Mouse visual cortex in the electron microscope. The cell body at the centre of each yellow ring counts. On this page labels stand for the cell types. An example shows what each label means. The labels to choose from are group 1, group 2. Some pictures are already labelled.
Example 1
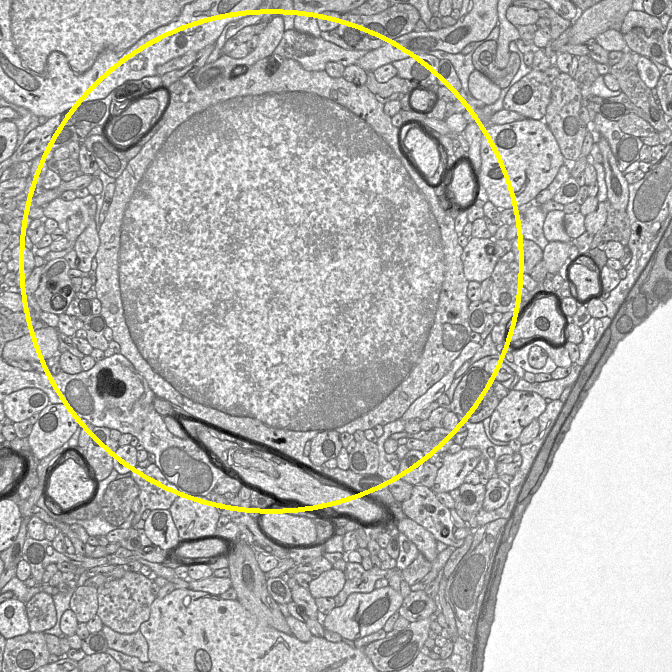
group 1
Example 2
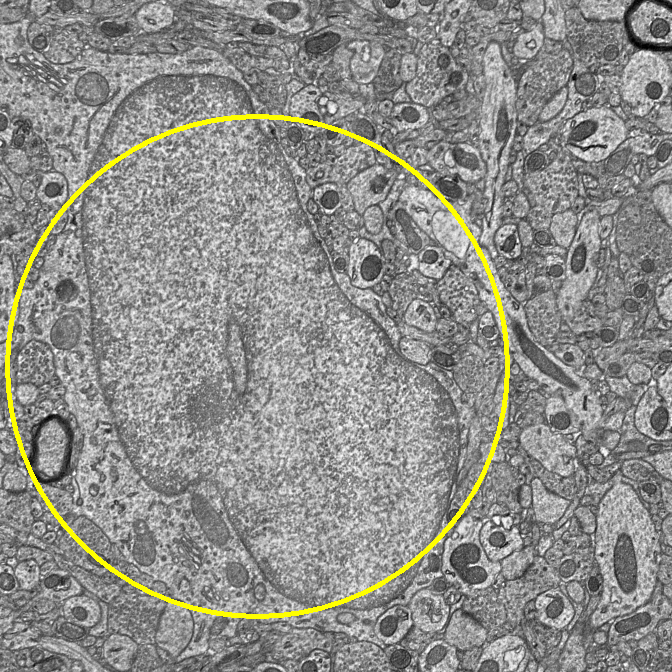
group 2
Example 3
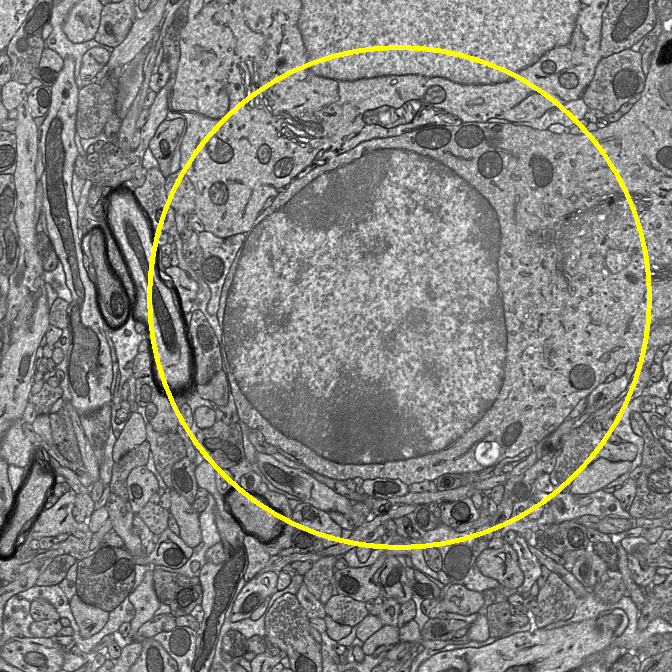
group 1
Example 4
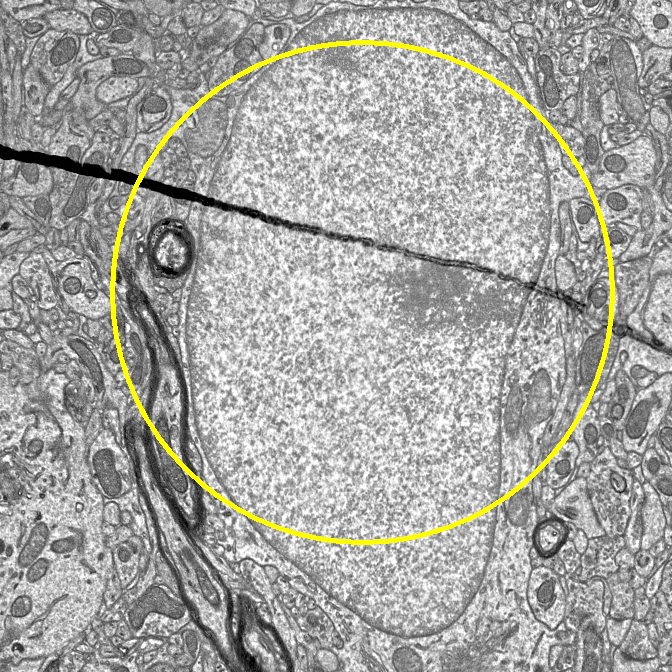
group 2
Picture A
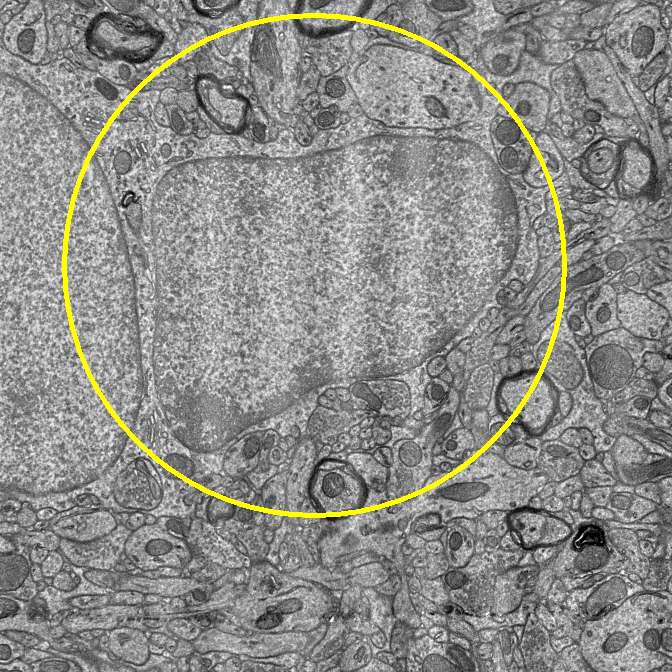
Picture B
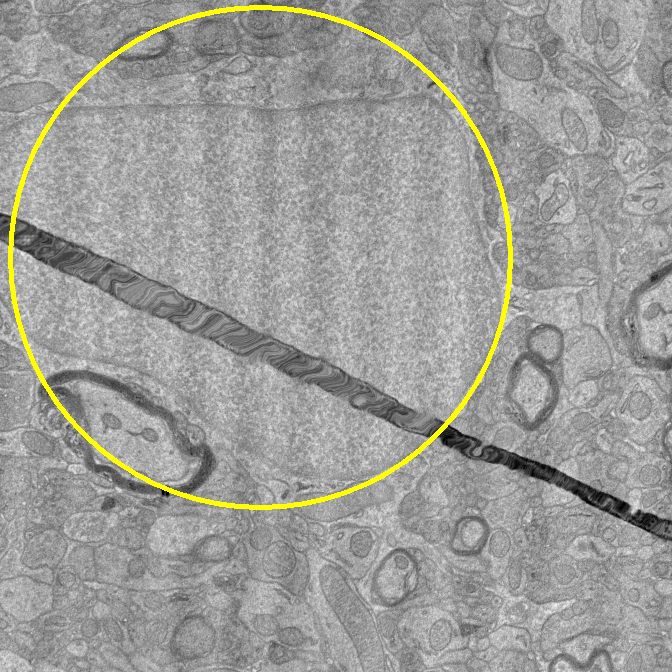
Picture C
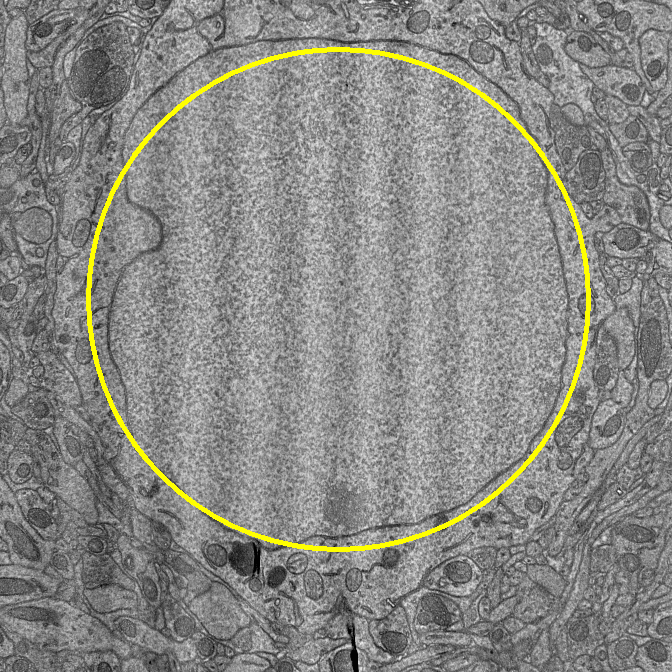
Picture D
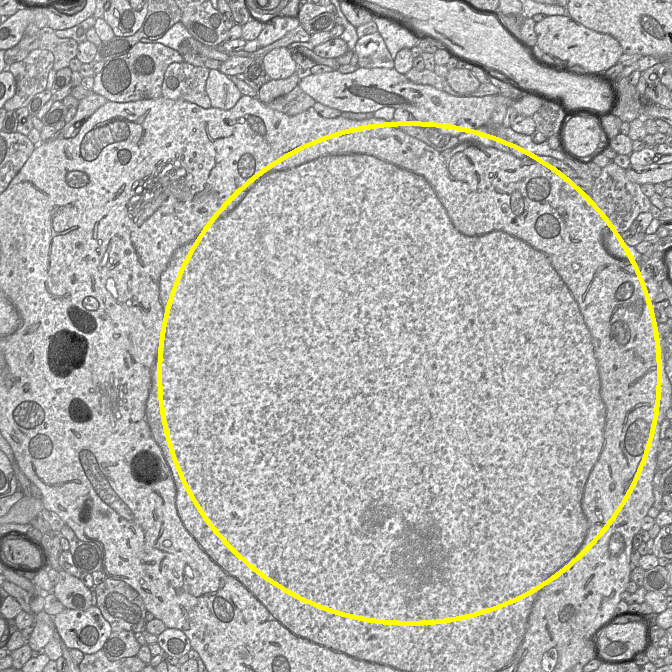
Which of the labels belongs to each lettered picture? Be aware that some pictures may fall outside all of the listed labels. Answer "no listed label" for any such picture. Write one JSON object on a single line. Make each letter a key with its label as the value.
{"A": "group 2", "B": "group 2", "C": "no listed label", "D": "no listed label"}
